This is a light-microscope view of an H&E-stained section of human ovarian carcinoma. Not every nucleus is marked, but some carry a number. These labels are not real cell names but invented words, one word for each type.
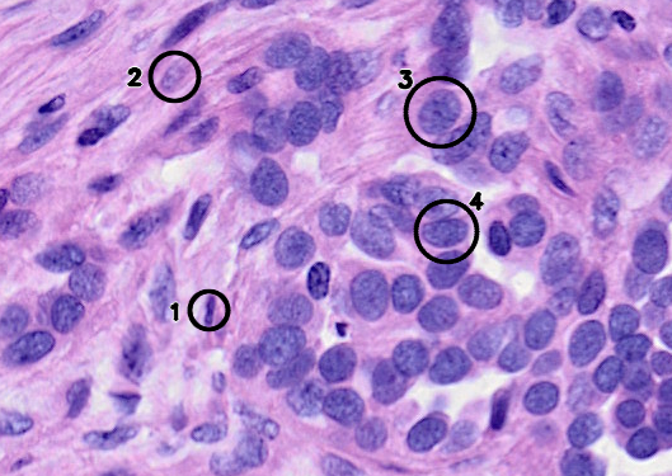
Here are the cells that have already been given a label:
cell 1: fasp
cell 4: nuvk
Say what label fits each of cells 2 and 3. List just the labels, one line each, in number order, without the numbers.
fasp
nuvk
